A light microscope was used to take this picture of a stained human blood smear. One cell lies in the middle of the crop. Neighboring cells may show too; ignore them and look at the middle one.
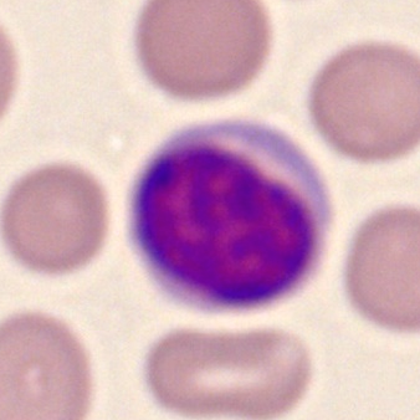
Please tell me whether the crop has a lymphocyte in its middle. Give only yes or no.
yes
